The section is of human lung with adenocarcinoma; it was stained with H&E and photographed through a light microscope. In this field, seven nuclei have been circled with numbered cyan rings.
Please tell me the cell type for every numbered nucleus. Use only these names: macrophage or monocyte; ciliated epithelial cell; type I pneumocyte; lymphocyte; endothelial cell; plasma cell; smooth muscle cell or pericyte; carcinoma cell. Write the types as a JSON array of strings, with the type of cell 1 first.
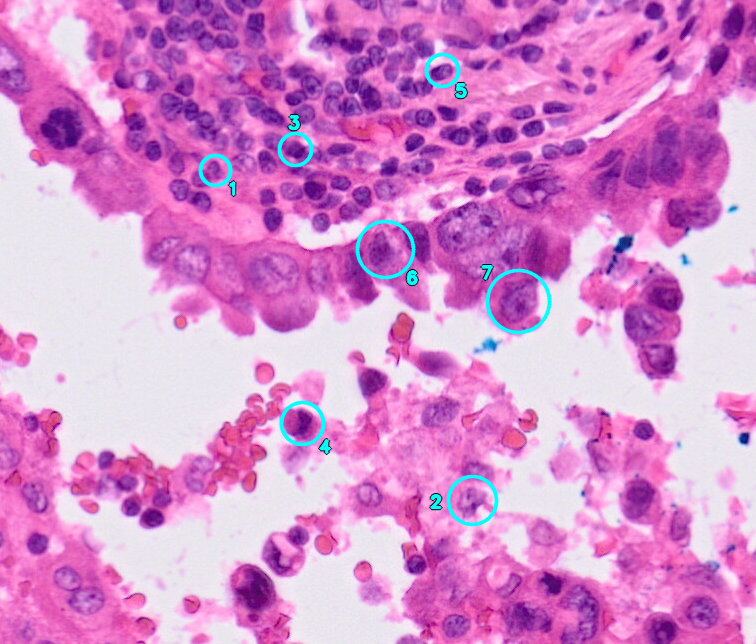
["lymphocyte", "macrophage or monocyte", "lymphocyte", "macrophage or monocyte", "lymphocyte", "carcinoma cell", "carcinoma cell"]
